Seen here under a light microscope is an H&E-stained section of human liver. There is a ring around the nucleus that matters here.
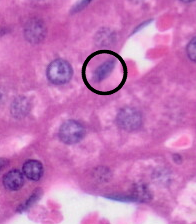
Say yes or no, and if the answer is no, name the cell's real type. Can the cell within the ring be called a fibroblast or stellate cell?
Yes.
